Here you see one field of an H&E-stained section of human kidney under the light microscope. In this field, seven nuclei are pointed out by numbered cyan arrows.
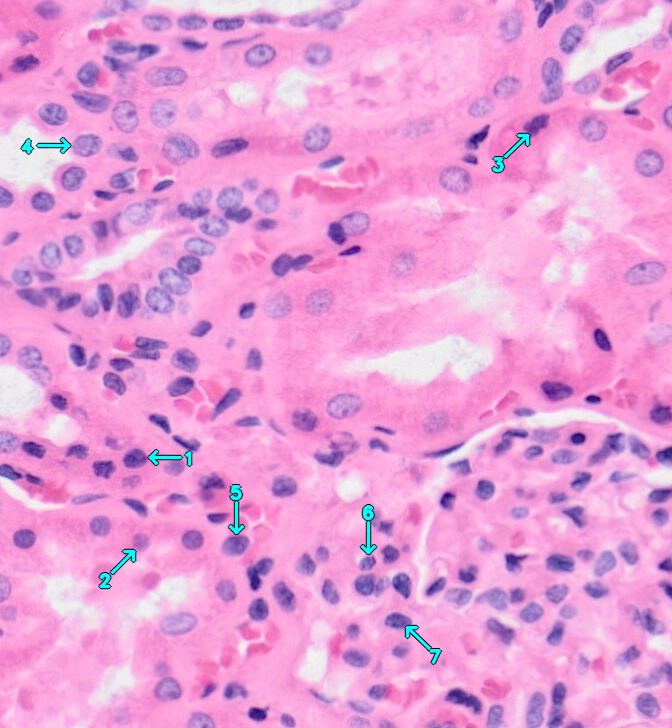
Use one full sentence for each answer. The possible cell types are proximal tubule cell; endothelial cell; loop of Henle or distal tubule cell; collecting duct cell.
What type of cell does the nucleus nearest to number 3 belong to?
Closest to number 3 lies the nucleus of a collecting duct cell.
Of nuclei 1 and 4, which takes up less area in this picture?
Nucleus 1 is the smaller one; nucleus 4 covers about 1.5 times its area.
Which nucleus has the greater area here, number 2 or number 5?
At about 1.5 times the area of nucleus 2, nucleus 5 is the larger of the two.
